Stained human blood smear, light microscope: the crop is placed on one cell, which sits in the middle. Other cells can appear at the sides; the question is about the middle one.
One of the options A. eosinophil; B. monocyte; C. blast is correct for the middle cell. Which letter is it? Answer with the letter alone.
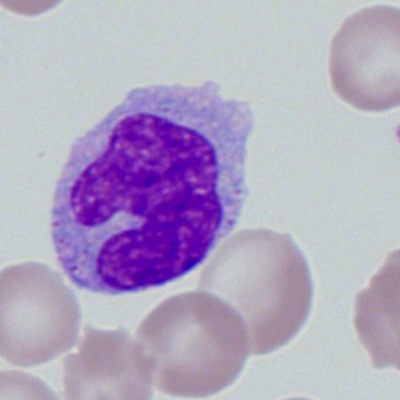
B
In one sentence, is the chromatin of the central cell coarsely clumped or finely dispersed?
Its chromatin is finely dispersed rather than coarsely clumped.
